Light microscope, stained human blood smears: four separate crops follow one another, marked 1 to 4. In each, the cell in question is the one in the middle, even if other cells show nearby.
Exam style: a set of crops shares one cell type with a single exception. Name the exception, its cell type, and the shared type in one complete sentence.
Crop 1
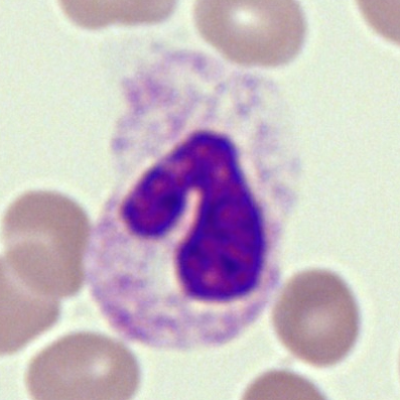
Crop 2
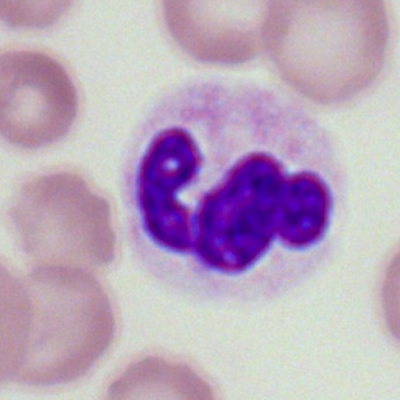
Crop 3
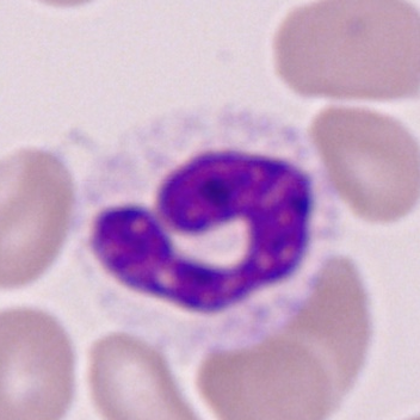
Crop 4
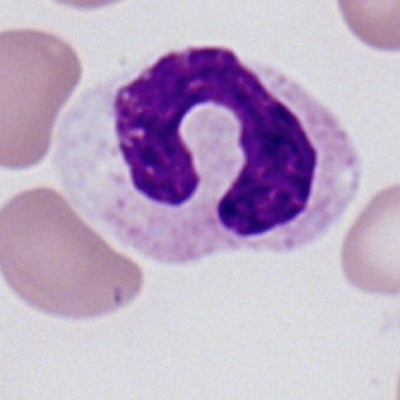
Although the other crops all show band neutrophils, crop 2 shows a segmented neutrophil.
